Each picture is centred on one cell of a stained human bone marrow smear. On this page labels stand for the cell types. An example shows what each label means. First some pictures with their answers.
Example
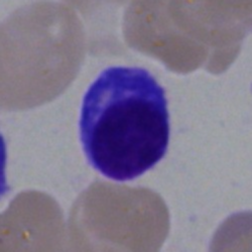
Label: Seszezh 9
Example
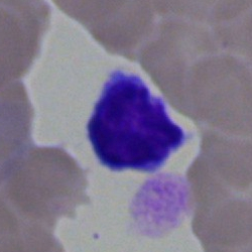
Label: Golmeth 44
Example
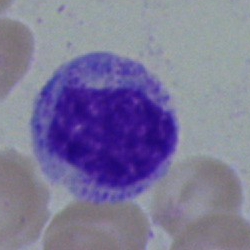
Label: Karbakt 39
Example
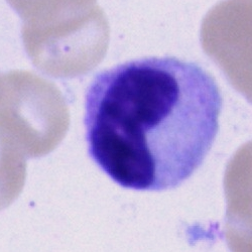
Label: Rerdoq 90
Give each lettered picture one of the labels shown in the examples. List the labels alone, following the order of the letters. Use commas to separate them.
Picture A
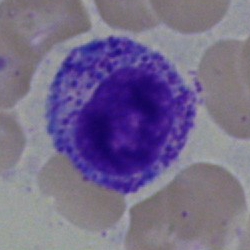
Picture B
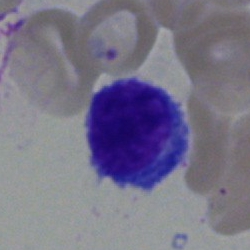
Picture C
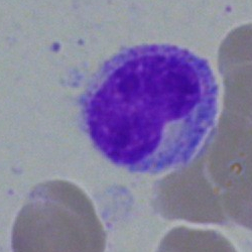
Karbakt 39, Golmeth 44, Rerdoq 90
